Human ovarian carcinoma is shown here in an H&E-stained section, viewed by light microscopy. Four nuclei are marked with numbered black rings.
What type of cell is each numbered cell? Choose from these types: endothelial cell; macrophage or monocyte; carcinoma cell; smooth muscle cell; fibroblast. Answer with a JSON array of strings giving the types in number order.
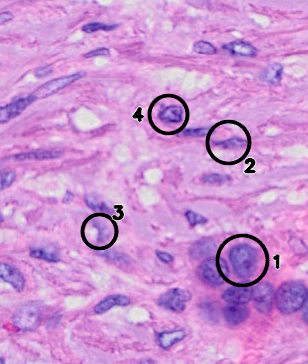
["carcinoma cell", "fibroblast", "fibroblast", "macrophage or monocyte"]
